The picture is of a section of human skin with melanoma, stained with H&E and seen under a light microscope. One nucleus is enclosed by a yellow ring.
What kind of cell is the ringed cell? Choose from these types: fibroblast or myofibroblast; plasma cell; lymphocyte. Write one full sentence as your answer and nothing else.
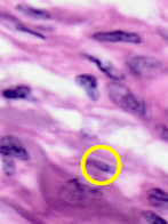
Among the cells in this section, the ringed cell is a fibroblast or myofibroblast.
